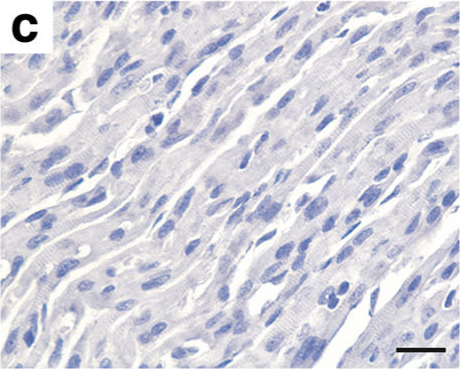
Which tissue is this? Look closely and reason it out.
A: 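Elongated cells run in parallel bundles. Cells show faint cross-striations. Elongated nuclei sit centrally within the cells, all blue.
Answer: heart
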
